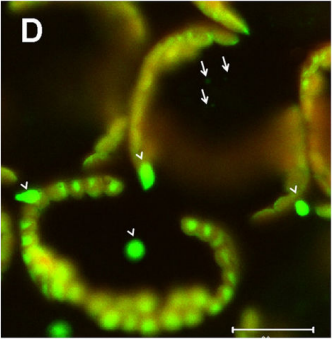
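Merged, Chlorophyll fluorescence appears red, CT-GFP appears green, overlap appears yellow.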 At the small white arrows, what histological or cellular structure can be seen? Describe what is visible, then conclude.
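Spherical bodies. The arrows point to tiny faint green dots in the cell interior. The dots are much smaller than the chloroplasts.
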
